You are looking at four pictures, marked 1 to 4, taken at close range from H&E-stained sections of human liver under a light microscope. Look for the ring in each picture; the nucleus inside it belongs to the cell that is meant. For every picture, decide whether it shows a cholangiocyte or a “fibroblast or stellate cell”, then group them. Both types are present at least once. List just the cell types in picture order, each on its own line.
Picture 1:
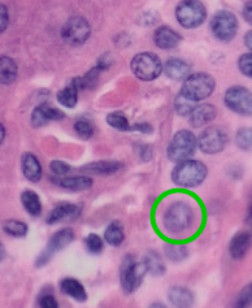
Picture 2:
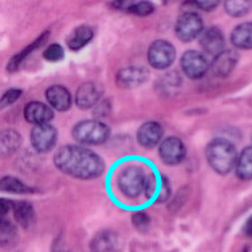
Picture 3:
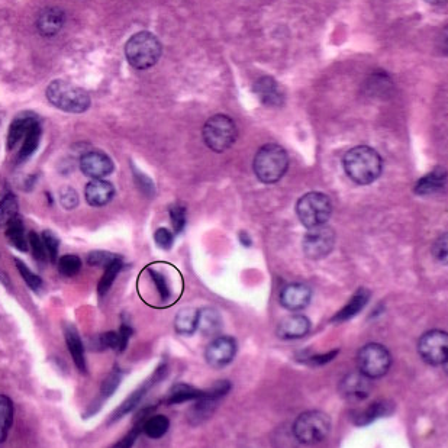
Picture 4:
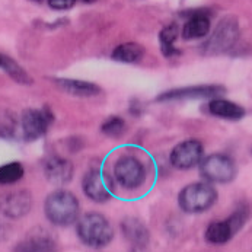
cholangiocyte
cholangiocyte
fibroblast or stellate cell
cholangiocyte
